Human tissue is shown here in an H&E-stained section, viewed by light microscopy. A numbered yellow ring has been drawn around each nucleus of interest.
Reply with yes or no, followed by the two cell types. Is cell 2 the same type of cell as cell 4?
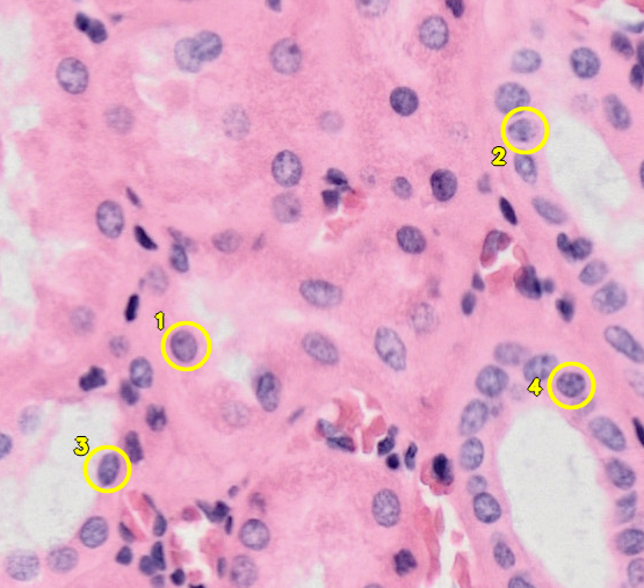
Yes, cells 2 and 4 have the same identity; both are collecting duct cells.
